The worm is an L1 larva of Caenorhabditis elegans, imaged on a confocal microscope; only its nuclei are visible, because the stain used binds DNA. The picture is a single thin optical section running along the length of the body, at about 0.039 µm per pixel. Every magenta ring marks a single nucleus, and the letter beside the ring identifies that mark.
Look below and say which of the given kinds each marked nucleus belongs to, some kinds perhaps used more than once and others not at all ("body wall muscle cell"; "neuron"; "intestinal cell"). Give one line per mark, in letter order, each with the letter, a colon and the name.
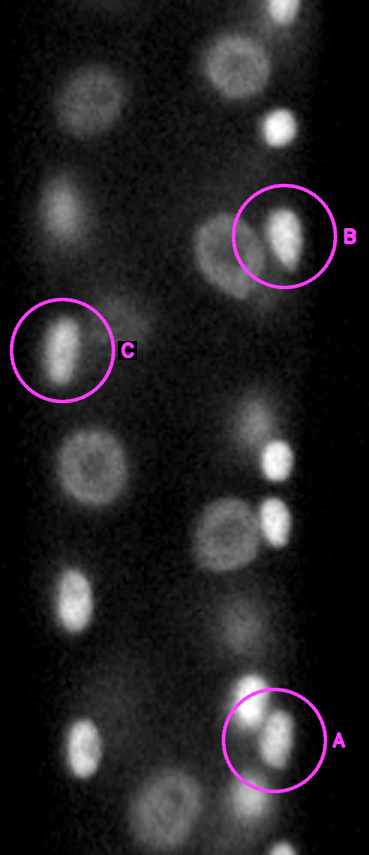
A: neuron
B: neuron
C: body wall muscle cell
